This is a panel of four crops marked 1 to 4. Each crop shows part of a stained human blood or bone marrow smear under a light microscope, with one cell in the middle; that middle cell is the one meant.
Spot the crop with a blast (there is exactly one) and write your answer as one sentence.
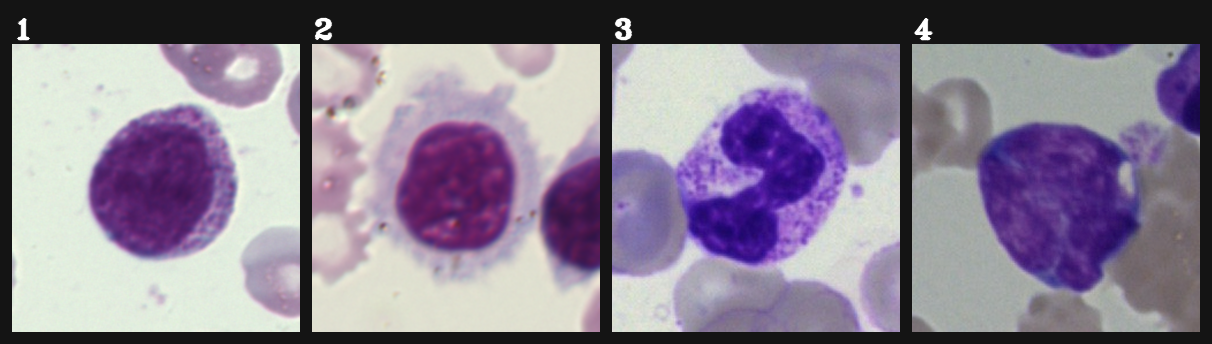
Crop 4 is the one that shows a blast.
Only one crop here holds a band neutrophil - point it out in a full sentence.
The one that shows a band neutrophil is crop 3.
